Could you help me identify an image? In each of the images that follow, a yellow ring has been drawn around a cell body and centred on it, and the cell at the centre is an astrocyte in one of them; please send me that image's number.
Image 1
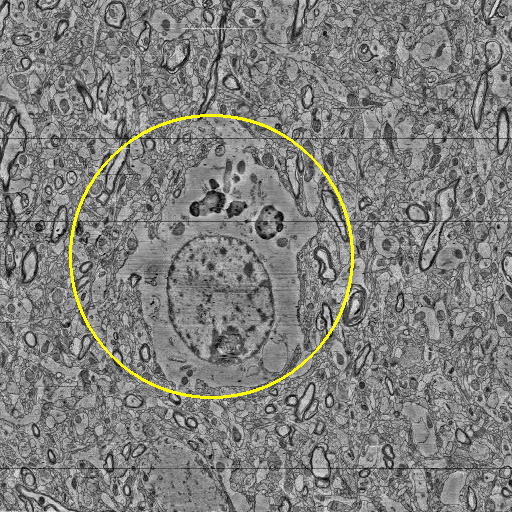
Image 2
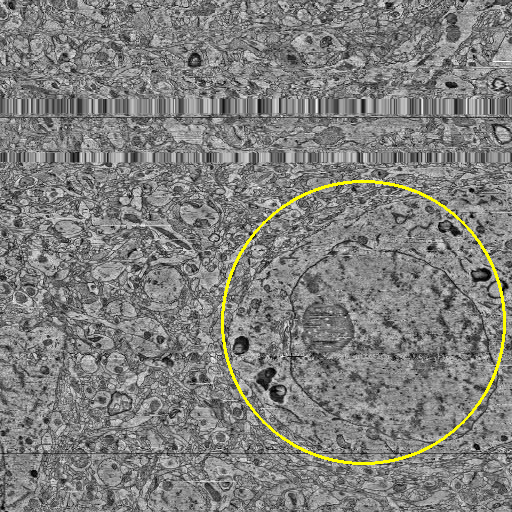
1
